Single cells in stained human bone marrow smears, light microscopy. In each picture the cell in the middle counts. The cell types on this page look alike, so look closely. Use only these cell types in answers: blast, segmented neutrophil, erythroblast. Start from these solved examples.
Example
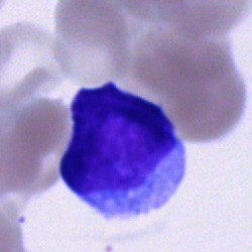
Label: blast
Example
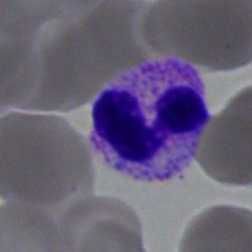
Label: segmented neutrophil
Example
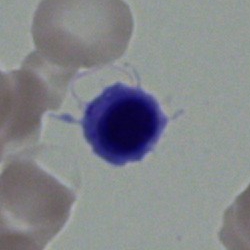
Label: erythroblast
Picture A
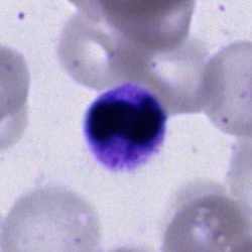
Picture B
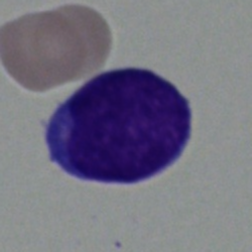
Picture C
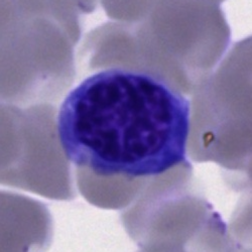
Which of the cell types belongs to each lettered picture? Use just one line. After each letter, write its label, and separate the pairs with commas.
A segmented neutrophil, B blast, C erythroblast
